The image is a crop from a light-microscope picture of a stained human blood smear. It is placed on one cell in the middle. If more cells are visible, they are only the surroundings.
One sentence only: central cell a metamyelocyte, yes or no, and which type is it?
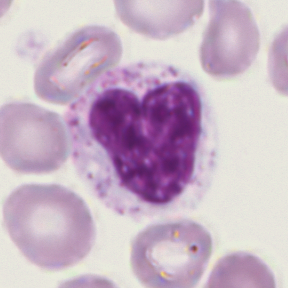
No, the cell in the middle is a band neutrophil, not a metamyelocyte.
